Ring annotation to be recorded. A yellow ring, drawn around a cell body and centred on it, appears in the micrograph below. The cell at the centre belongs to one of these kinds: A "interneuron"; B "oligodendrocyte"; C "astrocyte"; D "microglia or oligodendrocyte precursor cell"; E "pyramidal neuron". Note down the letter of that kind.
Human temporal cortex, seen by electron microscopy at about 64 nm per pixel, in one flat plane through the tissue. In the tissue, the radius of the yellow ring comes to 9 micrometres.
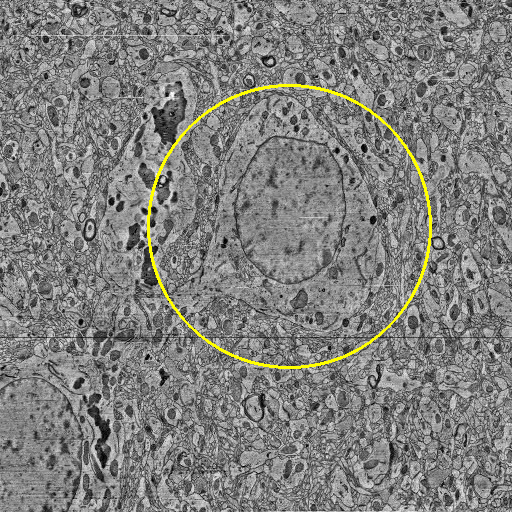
E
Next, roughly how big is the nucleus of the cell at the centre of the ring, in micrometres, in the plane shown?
The nucleus measures about 10 by 7 micrometres in this plane.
